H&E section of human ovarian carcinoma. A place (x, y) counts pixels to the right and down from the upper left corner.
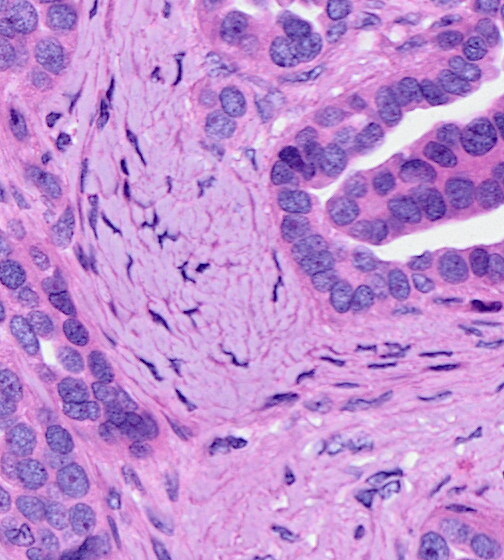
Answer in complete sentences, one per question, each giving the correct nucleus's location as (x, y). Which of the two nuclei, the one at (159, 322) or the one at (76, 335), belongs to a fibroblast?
It is the nucleus at (159, 322) that forms part of a fibroblast.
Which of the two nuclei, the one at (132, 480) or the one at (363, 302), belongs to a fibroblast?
Rather than the other nucleus, the one at (132, 480) belongs to a fibroblast.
